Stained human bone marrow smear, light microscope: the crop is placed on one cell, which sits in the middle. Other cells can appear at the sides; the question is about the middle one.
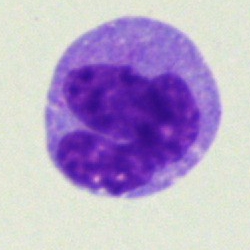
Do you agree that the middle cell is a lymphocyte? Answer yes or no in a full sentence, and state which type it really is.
No, the central cell is a monocyte; it should not be labelled a lymphocyte.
